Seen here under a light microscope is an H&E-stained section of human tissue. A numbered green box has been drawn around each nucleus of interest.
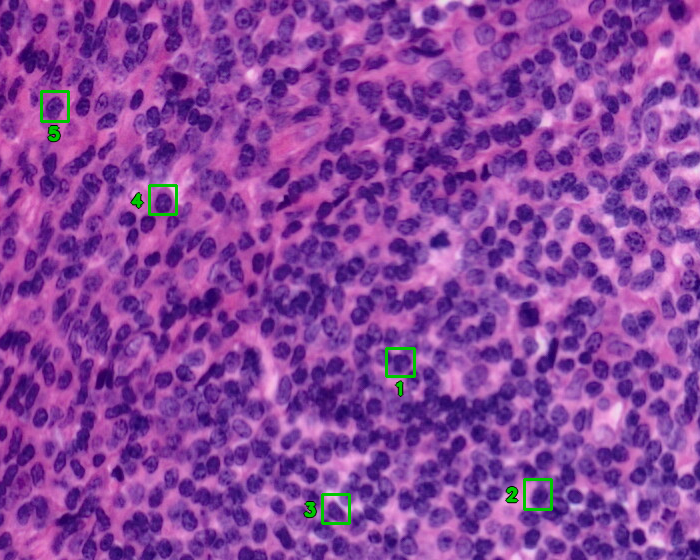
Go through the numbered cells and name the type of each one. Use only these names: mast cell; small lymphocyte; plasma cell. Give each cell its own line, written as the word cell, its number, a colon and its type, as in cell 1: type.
cell 1: small lymphocyte
cell 2: small lymphocyte
cell 3: small lymphocyte
cell 4: plasma cell
cell 5: plasma cell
